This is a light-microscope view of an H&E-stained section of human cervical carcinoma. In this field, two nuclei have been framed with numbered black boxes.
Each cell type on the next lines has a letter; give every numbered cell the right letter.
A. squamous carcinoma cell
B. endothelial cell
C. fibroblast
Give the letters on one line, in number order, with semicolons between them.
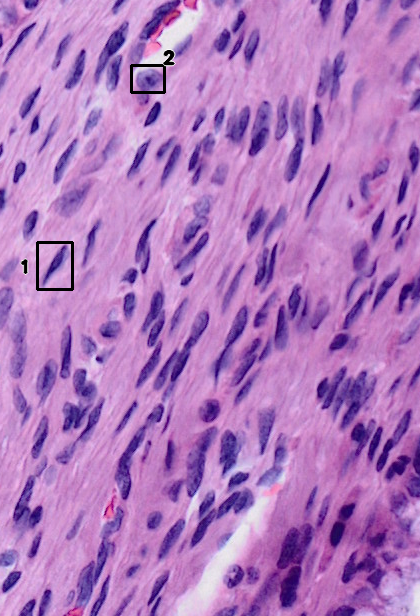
C; B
